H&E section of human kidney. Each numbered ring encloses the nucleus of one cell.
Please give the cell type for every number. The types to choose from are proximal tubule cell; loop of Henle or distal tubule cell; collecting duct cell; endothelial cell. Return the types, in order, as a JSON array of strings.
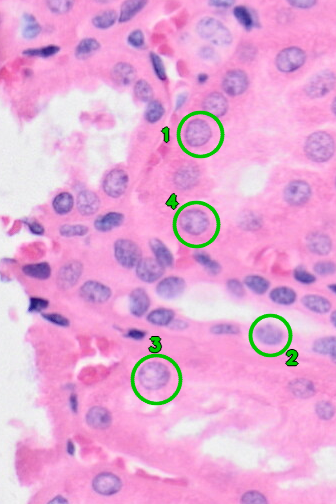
["proximal tubule cell", "collecting duct cell", "proximal tubule cell", "proximal tubule cell"]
